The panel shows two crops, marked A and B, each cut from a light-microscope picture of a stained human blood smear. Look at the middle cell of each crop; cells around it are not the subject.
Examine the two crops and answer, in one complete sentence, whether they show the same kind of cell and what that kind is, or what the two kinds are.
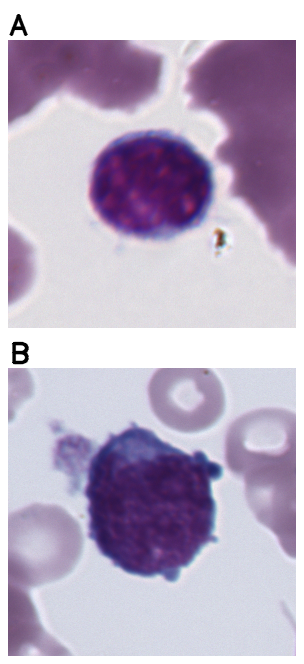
No, on this set crop A shows a hairy cell and crop B shows a myeloblast.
